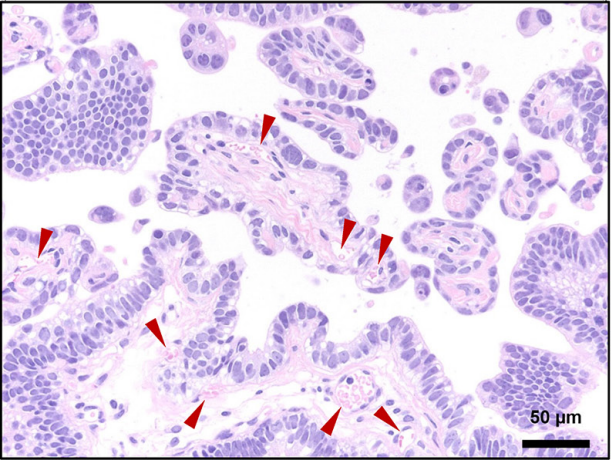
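Folded sheets and papillary fronds of tumor epithelium line open spaces, the cells tall to columnar with crowded oval purple nuclei, some stacked in several layers. Their cytoplasm is pale lilac, and small rounded clusters of epithelial cells float free in the lumens. Between the epithelial layers run thin cores of pale pink fibrous tissue with slender spindle-shaped nuclei. Within these cores lie small vessels, some holding bright red bodies that are red blood cells. The picture is of a gland-forming epithelial tumor with an accompanying stromal component carrying blood vessels and little visible cell death.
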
